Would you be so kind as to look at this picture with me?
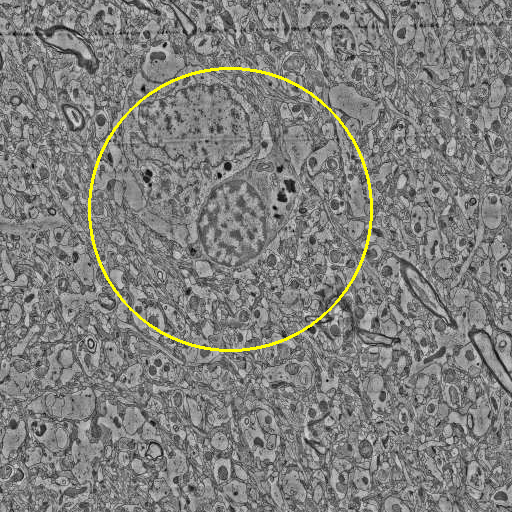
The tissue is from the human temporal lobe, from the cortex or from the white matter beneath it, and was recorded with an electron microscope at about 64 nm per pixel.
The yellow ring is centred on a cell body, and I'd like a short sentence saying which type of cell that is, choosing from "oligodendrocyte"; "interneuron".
The cell body in the ring belongs to an oligodendrocyte.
